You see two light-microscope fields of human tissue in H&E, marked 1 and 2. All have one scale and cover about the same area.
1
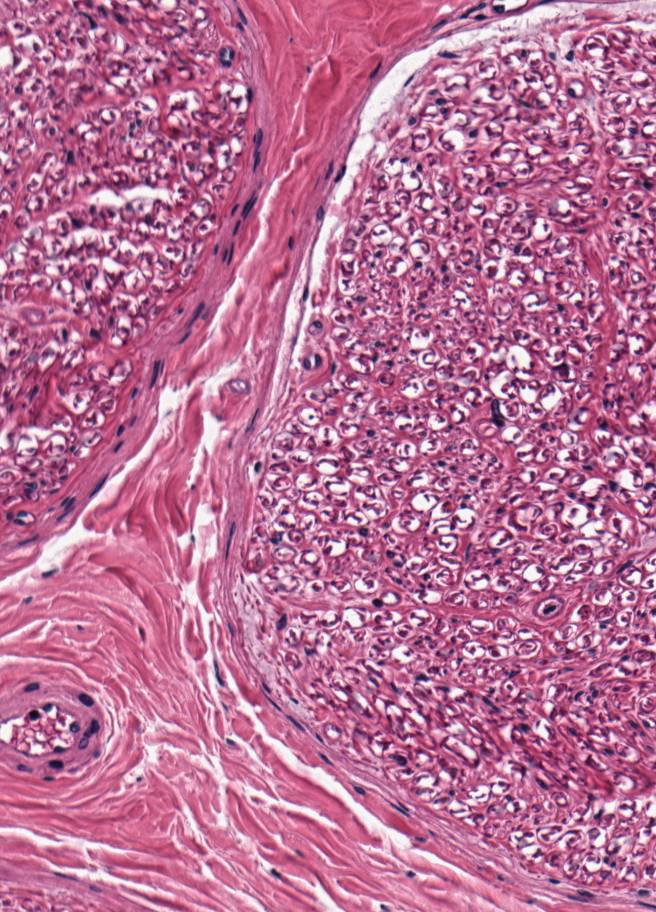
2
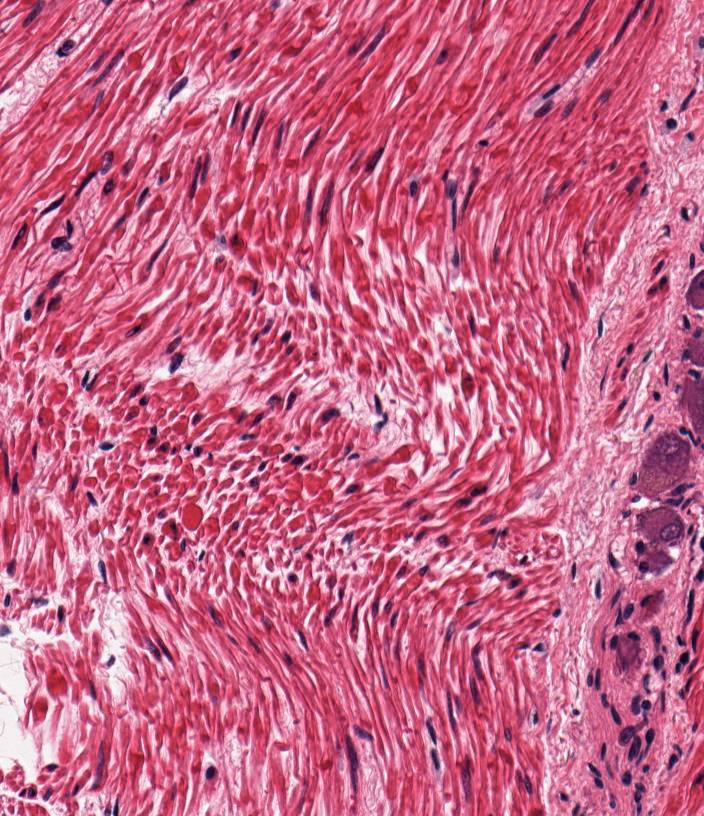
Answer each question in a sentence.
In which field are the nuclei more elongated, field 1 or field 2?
On the whole the nuclei of field 2 are more drawn out than those of field 1.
